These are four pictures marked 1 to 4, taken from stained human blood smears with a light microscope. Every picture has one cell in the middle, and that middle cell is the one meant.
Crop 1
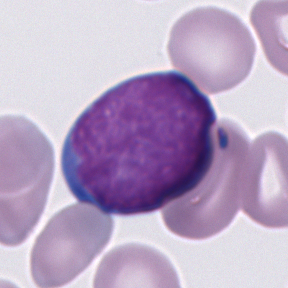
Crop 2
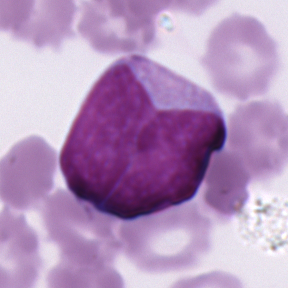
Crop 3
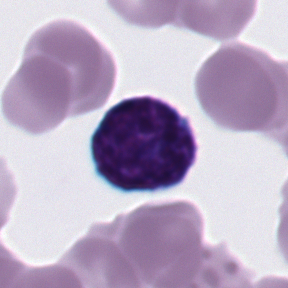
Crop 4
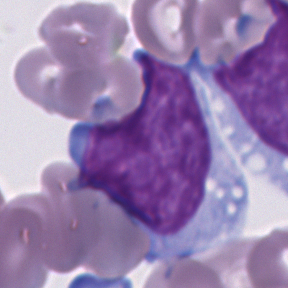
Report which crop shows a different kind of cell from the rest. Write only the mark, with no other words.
3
